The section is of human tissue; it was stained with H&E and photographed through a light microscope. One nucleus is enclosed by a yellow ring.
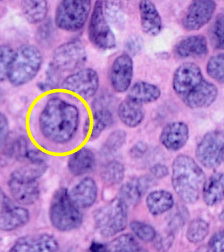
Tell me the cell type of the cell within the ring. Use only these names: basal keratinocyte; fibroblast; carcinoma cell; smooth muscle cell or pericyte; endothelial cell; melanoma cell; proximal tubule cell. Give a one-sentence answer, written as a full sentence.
In this tissue sample, the cell within the ring is a carcinoma cell.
